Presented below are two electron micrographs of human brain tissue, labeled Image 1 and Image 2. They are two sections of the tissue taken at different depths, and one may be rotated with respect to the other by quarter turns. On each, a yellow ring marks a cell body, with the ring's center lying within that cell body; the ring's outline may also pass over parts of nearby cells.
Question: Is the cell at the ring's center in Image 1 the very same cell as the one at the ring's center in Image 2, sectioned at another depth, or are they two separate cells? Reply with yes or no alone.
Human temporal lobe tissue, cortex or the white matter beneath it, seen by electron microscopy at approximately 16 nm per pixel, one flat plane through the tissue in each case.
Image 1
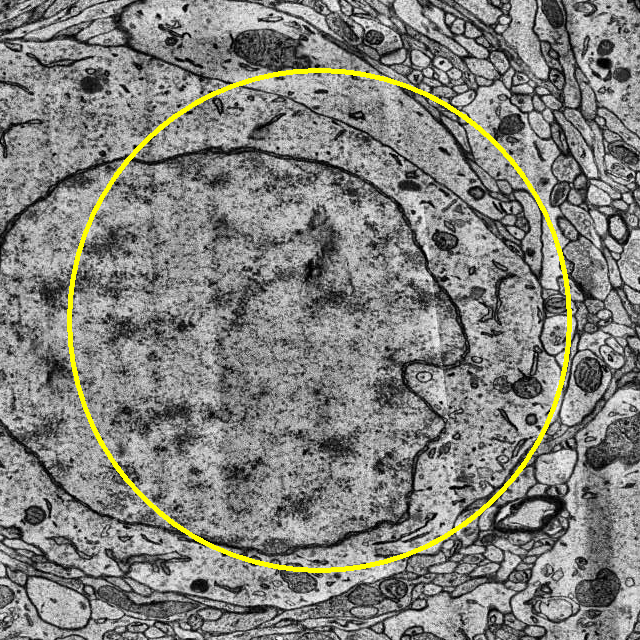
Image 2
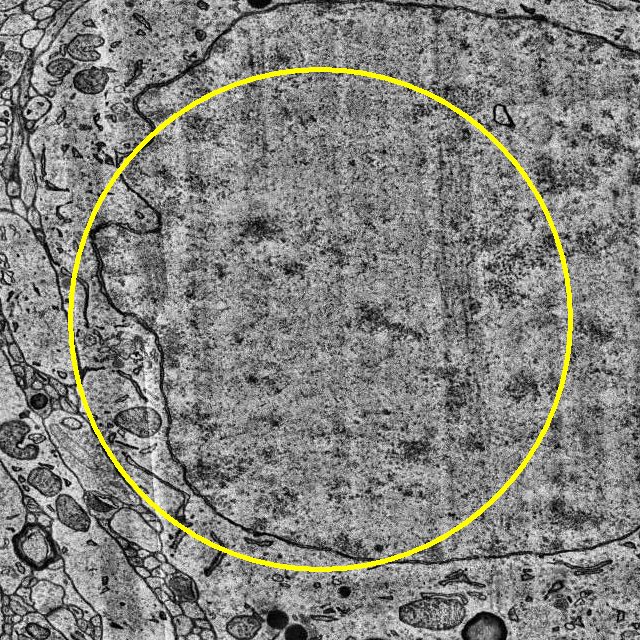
yes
